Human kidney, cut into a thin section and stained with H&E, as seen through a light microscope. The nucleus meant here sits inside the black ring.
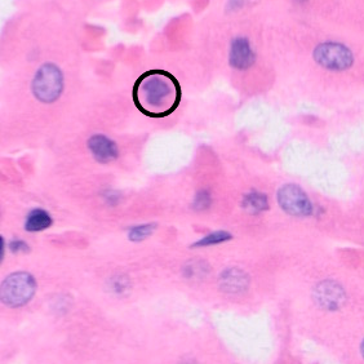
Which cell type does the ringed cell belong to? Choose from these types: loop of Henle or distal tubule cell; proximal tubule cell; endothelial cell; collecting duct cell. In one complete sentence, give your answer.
In the stained section, the ringed cell is a proximal tubule cell.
